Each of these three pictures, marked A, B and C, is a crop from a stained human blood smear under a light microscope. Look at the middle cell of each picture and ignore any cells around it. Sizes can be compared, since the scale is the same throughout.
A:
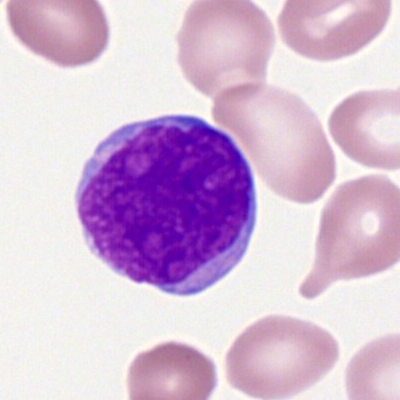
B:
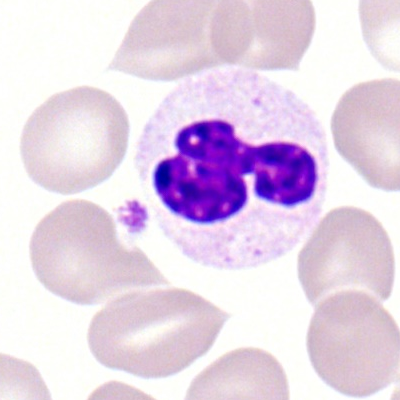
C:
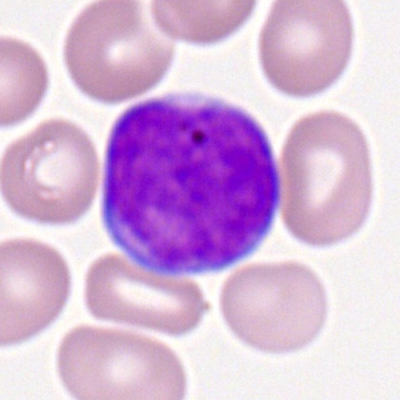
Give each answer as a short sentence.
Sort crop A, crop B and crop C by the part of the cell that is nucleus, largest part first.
The most filled comes first: C, A, B.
